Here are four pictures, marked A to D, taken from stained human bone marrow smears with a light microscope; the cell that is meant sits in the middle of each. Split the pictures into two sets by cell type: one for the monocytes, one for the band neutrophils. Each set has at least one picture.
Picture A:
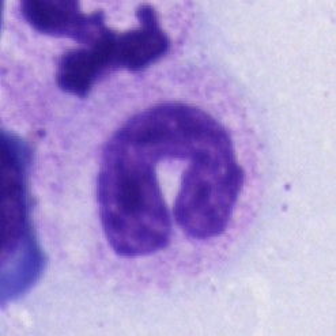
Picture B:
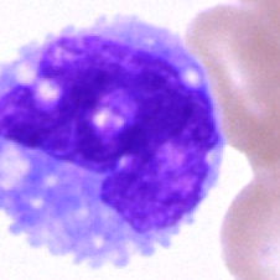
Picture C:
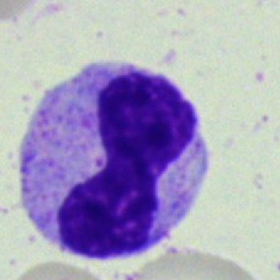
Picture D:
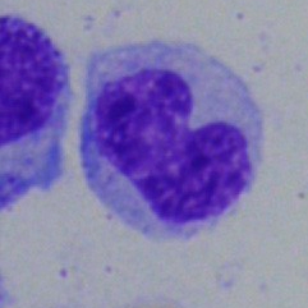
A: band neutrophil
B: monocyte
C: band neutrophil
D: band neutrophil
